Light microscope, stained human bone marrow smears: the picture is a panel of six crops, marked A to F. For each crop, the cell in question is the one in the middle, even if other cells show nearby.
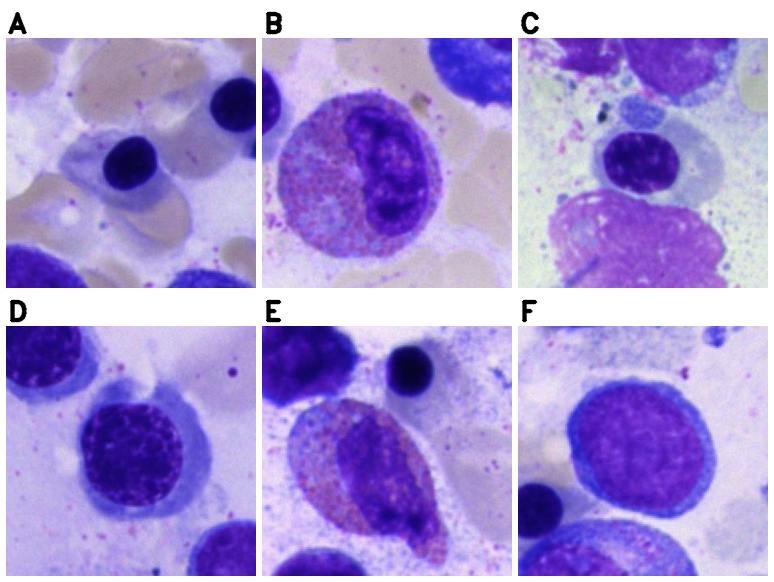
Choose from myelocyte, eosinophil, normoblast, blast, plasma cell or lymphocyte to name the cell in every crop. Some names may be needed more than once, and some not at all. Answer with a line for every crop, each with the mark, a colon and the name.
A: normoblast
B: eosinophil
C: normoblast
D: normoblast
E: eosinophil
F: blast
